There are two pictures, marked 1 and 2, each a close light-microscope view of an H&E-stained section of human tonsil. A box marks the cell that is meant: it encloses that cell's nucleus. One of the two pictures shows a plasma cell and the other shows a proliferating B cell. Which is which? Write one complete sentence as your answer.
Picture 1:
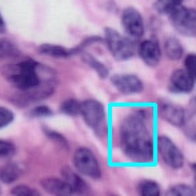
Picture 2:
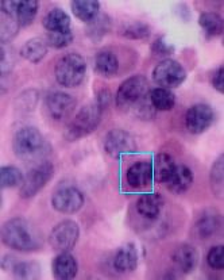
Picture 1 shows a proliferating B cell and picture 2 shows a plasma cell.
